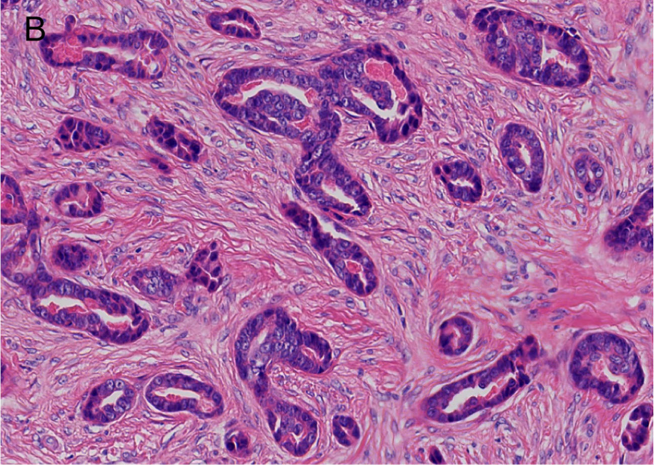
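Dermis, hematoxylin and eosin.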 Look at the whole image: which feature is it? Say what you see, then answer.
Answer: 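Many small tubules lined by one to two layers of cuboidal cells with dark nuclei. Tubules lie scattered in a pale fibrous stroma. That points to this answer: ductal and cystic lumen-like structures.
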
